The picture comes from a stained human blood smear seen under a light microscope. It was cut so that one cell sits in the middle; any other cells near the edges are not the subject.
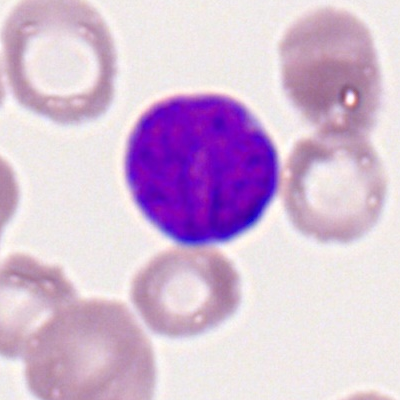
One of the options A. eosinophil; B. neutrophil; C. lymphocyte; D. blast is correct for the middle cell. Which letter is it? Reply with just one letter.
D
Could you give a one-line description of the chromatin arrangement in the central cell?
The chromatin pattern here is coarse and clumped.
